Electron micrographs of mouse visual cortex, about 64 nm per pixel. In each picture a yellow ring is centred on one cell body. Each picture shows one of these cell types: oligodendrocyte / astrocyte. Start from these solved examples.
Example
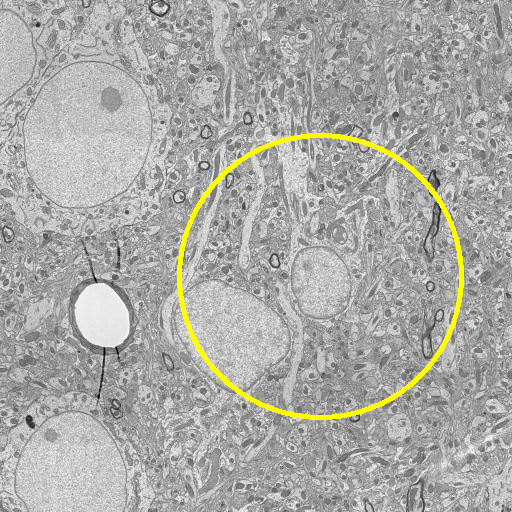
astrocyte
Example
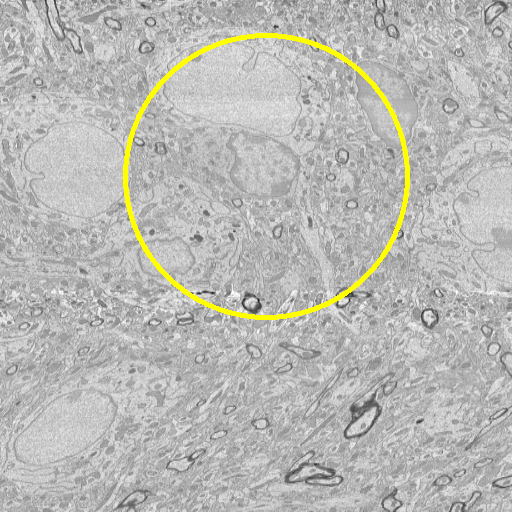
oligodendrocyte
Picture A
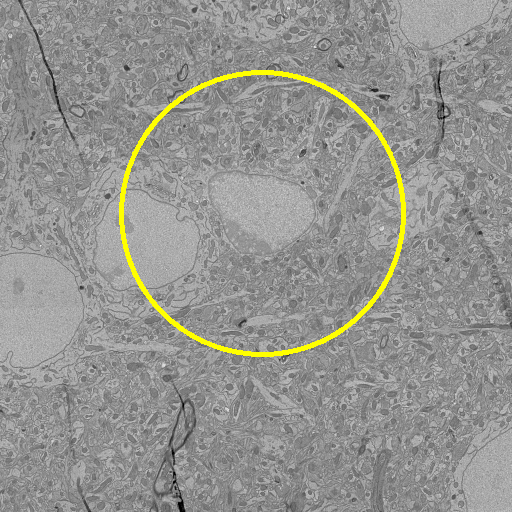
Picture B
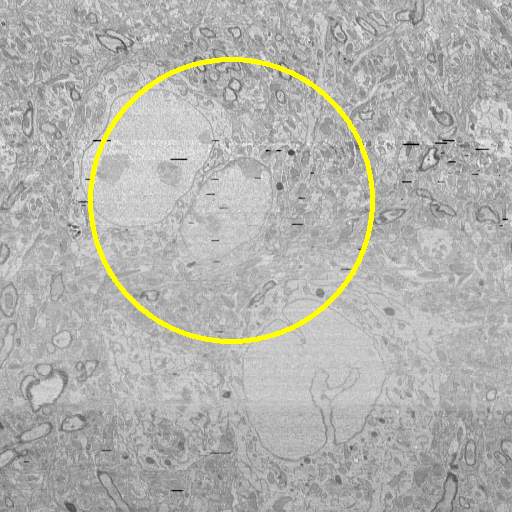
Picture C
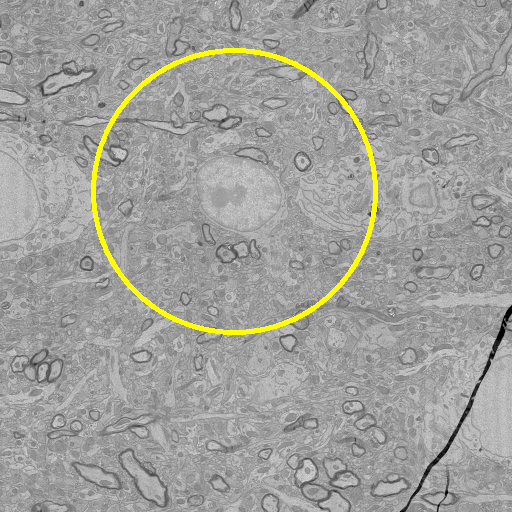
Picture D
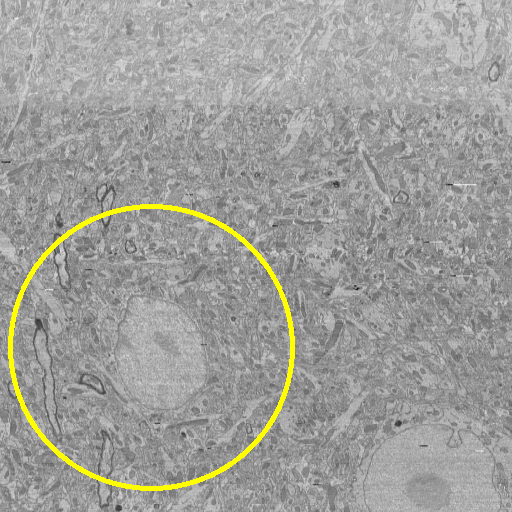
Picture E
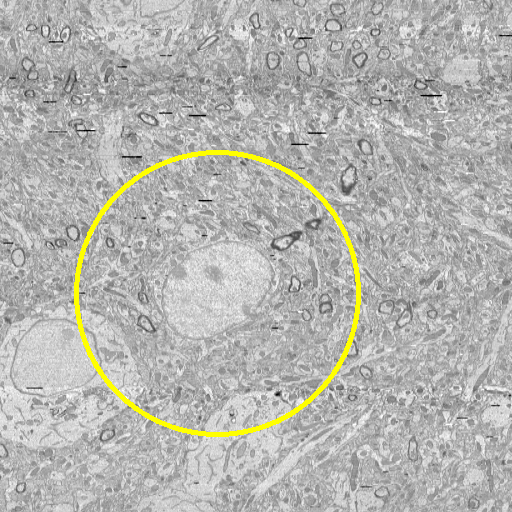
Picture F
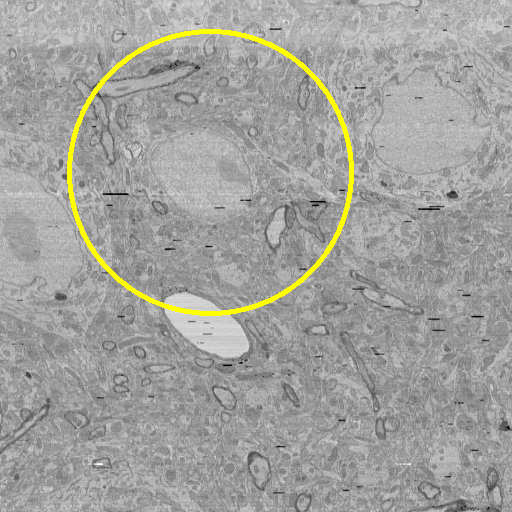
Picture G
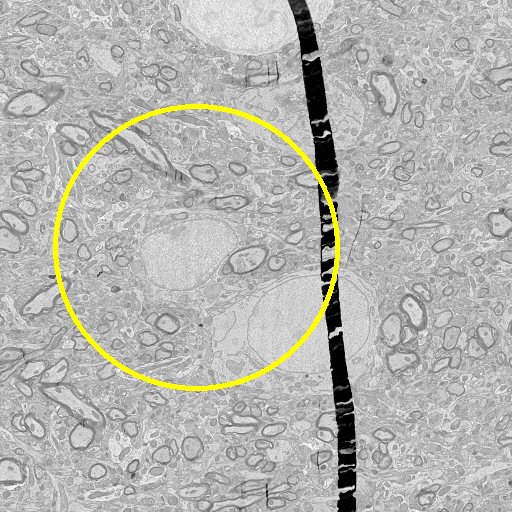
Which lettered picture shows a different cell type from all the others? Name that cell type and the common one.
Exception: C, showing oligodendrocyte. Remaining pictures: astrocyte.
